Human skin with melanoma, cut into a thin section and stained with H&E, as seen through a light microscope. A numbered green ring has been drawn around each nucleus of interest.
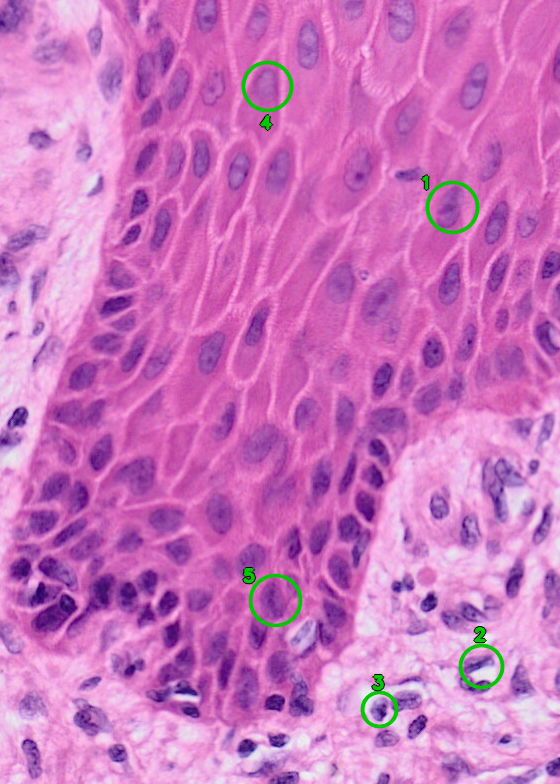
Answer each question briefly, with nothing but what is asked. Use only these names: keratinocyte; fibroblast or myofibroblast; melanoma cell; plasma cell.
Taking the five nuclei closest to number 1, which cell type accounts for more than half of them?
keratinocyte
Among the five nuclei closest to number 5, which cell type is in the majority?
keratinocyte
